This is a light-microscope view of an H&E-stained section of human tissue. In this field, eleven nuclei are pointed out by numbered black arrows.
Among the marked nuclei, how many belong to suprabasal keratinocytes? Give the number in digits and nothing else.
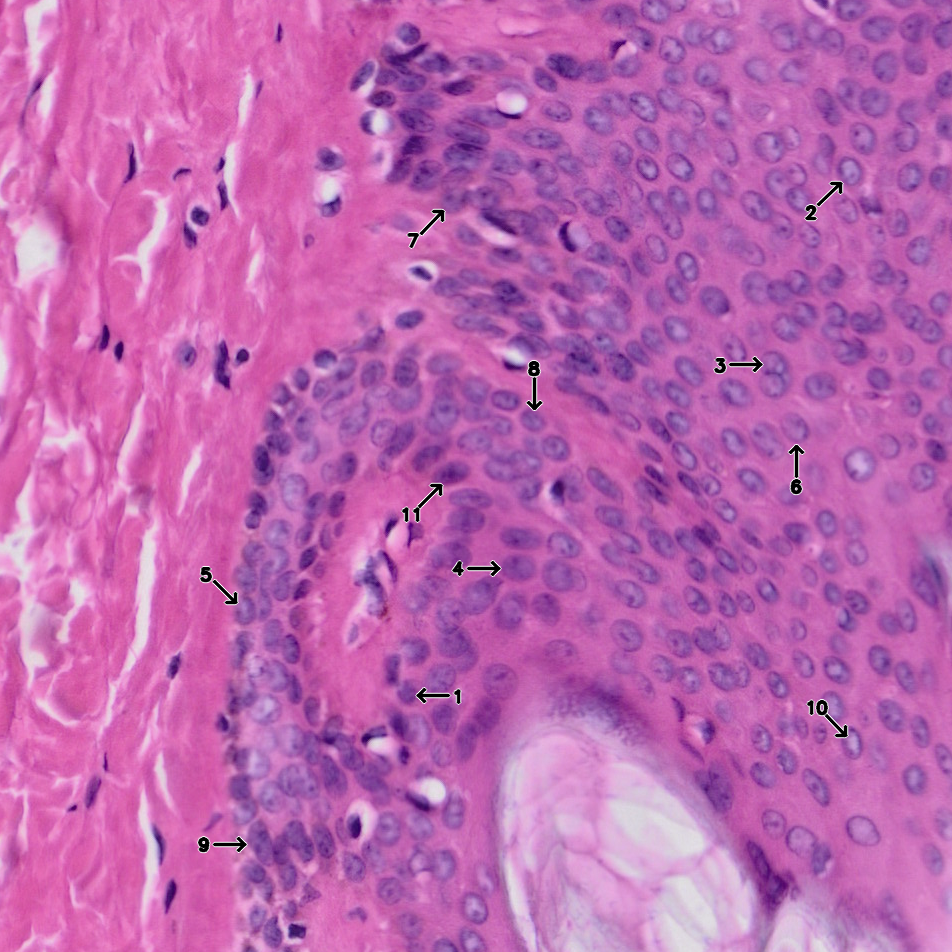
5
